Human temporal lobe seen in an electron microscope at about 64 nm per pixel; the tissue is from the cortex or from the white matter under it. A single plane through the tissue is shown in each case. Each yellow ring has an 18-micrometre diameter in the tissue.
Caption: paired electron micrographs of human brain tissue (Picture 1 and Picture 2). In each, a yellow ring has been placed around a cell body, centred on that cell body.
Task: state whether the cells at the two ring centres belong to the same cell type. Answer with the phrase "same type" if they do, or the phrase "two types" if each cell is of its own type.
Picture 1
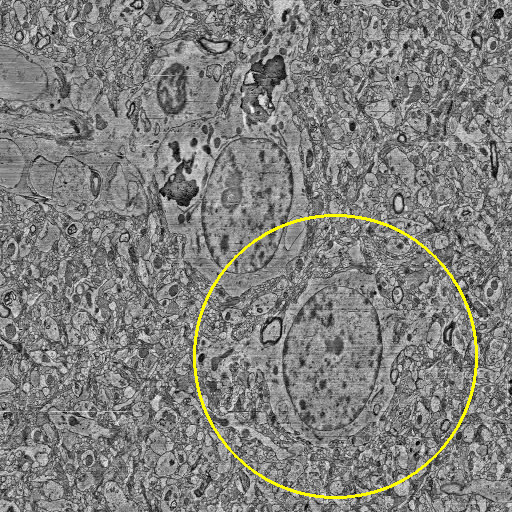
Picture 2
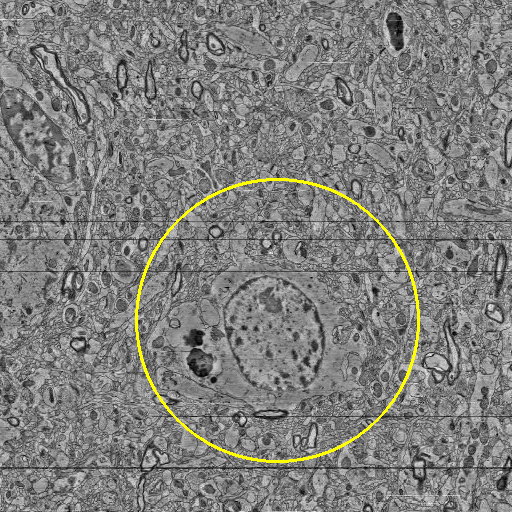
same type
